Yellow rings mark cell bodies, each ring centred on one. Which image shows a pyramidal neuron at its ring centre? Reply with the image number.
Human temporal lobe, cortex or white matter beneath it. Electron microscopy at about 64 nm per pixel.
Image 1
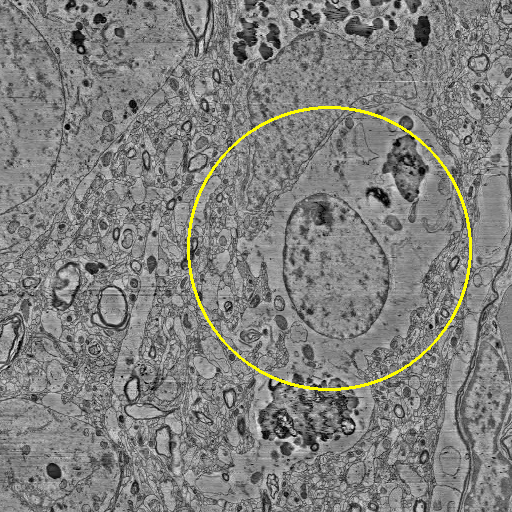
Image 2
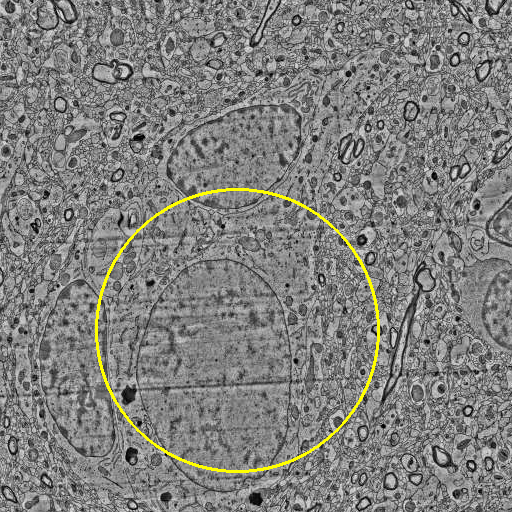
2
